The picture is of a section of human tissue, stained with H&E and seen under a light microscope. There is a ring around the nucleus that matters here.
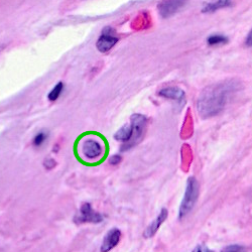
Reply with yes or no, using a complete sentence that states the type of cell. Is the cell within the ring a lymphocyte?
No, the cell within the ring is not a lymphocyte, but is instead a mast cell.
